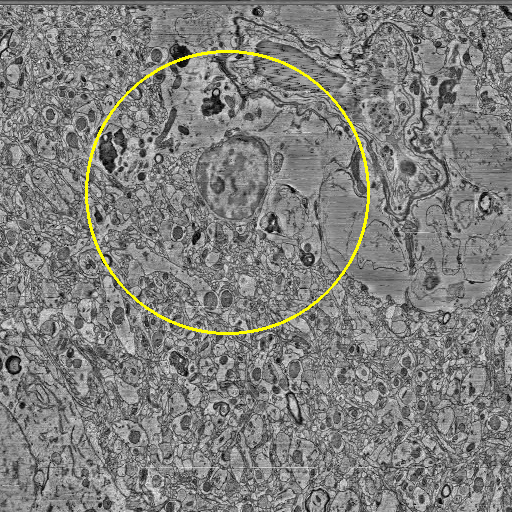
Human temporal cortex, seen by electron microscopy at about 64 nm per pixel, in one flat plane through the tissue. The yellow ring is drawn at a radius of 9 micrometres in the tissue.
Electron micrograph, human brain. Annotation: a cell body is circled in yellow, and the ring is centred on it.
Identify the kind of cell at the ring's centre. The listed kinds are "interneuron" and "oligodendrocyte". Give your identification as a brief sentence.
The circled cell body is that of an oligodendrocyte.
